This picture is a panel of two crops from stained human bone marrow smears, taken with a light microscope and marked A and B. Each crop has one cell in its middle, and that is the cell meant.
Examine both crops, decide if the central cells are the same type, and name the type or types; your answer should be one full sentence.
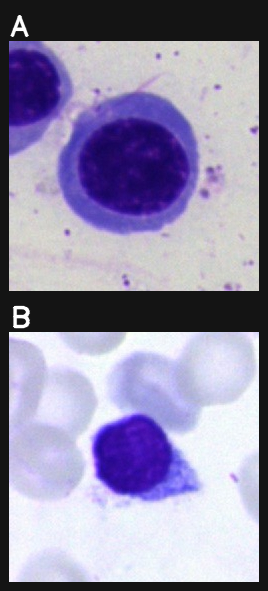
No, crop A is to be identified as a normoblast and crop B as a lymphocyte.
